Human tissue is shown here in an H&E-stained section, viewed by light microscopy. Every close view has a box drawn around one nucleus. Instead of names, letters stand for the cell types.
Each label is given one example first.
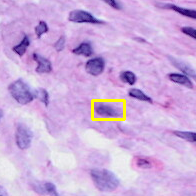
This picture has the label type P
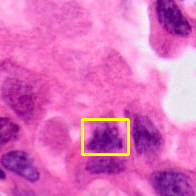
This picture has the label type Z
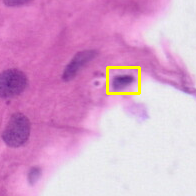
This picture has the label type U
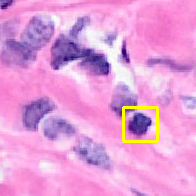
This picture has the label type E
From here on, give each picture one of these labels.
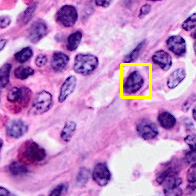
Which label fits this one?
type E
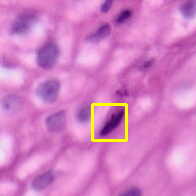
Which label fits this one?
type U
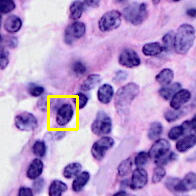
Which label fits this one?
type E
